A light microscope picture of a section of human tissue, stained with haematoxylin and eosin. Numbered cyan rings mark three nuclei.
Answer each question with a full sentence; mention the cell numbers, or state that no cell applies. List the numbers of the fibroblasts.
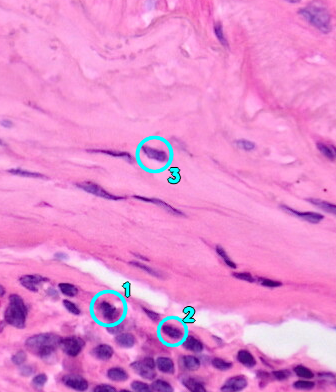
Cell 3 is a fibroblast, and this holds for no other numbered cell.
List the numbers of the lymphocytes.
Only cell 2 is a lymphocyte; none of the other numbered cells is.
